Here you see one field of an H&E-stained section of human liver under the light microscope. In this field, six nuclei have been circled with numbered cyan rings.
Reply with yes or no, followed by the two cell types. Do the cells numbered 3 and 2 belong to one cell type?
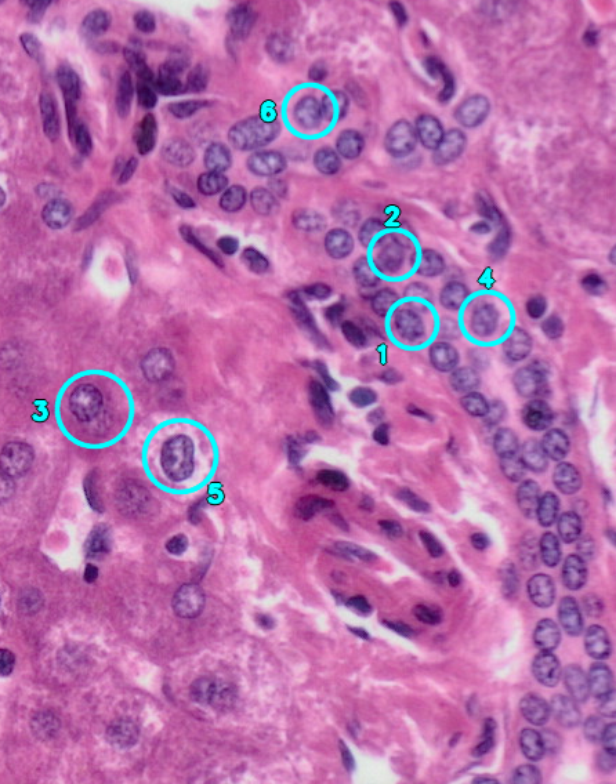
No, the cell at number 3 is a hepatocyte, and the cell at number 2 is a cholangiocyte.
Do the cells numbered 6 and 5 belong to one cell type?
No, cell 6 here is a cholangiocyte, and cell 5 here is a hepatocyte.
